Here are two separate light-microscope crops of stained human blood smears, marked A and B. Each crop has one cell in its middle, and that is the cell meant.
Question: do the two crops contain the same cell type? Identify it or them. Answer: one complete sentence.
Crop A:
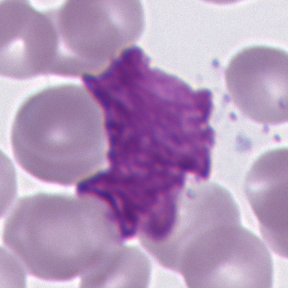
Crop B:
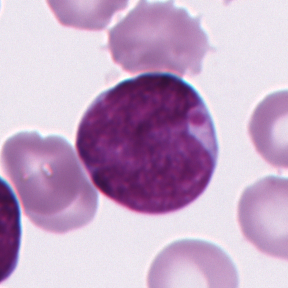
No, crop A is the one with a smudge cell; crop B has a myeloblast.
